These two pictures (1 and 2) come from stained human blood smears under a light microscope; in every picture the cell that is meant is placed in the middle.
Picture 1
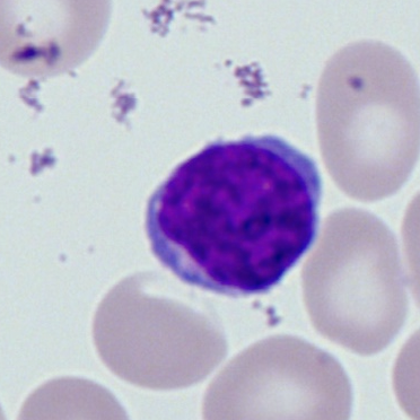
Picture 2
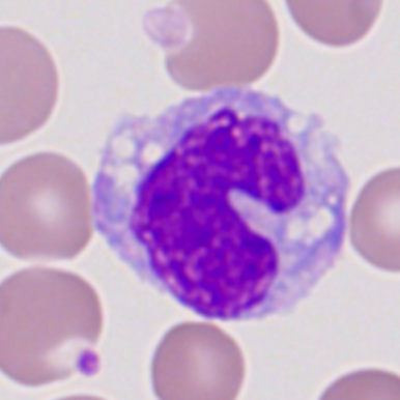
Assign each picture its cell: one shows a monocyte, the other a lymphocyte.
1: lymphocyte
2: monocyte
